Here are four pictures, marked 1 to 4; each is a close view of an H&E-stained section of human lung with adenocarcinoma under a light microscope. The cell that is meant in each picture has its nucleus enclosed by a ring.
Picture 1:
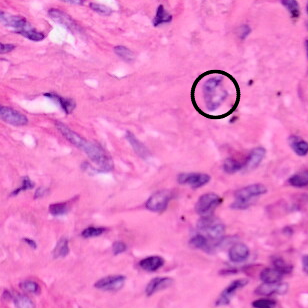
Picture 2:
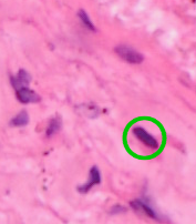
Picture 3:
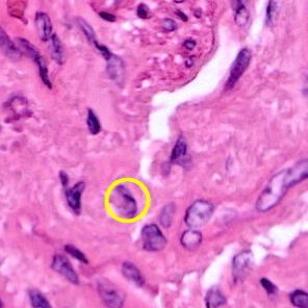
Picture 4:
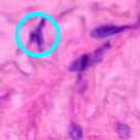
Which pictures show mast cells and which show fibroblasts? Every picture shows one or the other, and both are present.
1: fibroblast
2: mast cell
3: fibroblast
4: fibroblast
